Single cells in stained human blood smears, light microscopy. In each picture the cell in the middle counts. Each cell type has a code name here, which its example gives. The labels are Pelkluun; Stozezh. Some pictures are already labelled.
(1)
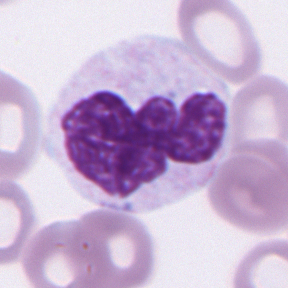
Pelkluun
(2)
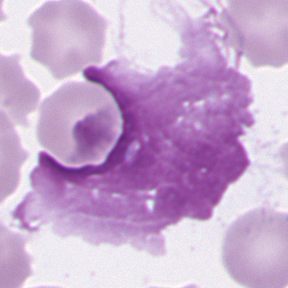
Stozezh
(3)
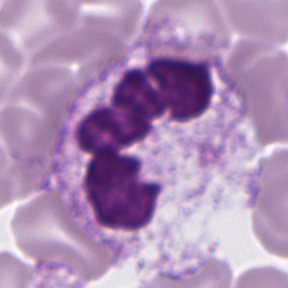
Pelkluun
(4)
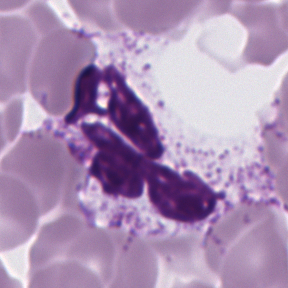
Pelkluun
